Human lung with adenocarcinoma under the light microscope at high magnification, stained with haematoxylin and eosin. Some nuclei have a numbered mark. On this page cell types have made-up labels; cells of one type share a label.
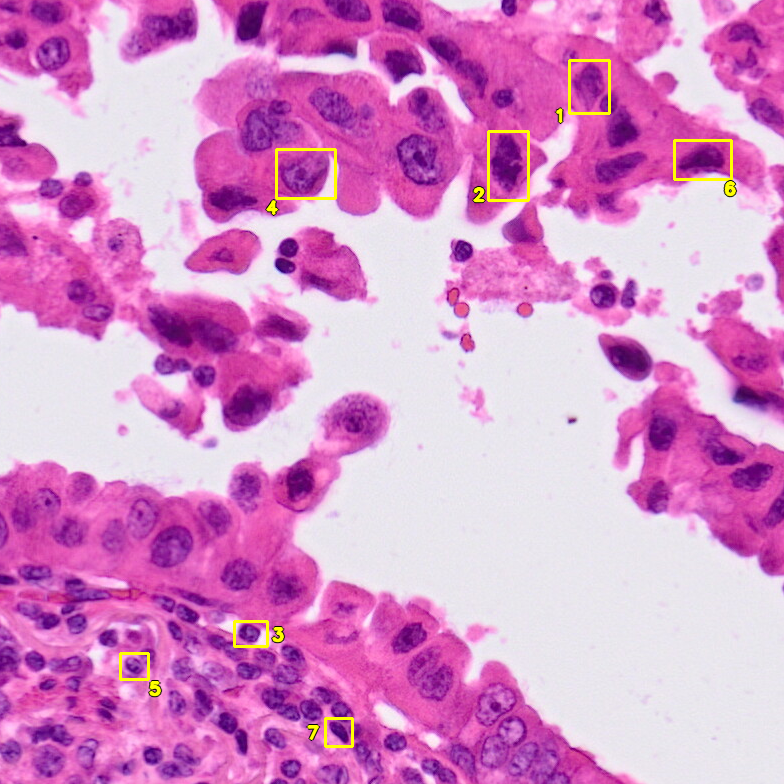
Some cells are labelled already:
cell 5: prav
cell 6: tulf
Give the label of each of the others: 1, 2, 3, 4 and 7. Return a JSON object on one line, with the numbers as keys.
{"1": "tulf", "2": "tulf", "3": "prav", "4": "tulf", "7": "prav"}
